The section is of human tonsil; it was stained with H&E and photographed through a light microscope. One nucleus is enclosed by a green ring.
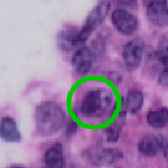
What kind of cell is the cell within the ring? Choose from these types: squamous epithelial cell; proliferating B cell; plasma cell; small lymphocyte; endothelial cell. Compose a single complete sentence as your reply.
Placed in its cell category, the cell within the ring is a proliferating B cell.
